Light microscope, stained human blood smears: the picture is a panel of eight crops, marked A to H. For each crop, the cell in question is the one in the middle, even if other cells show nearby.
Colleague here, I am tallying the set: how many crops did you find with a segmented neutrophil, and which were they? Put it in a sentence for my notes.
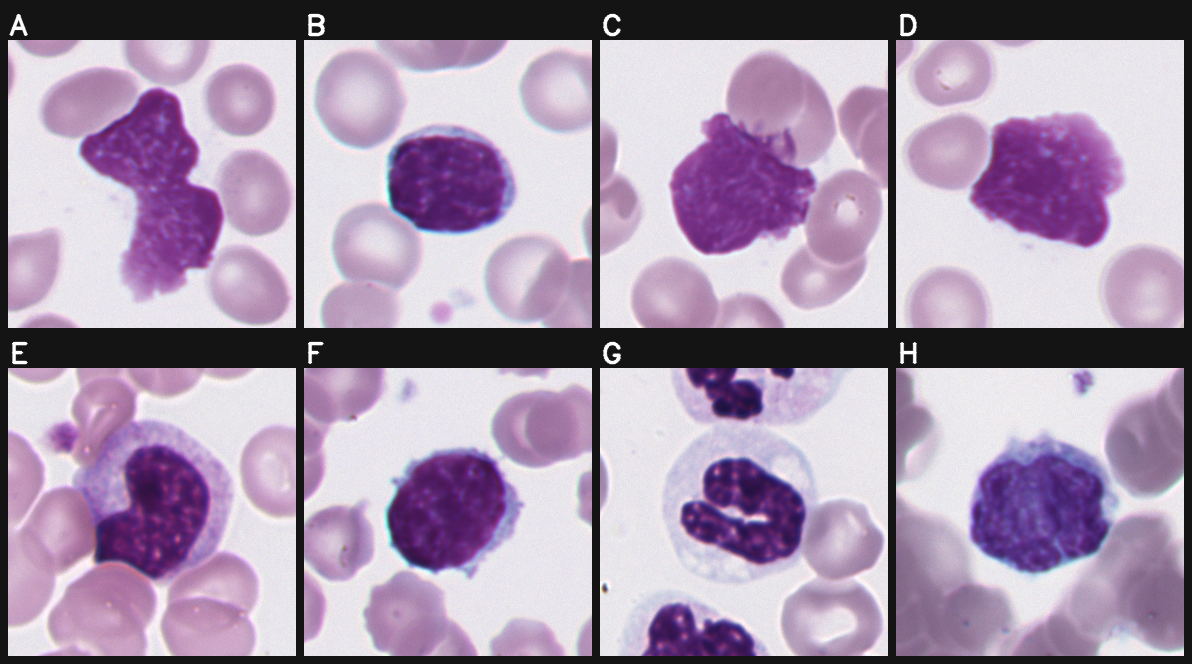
The crops contain no segmented neutrophils, so the count is zero.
